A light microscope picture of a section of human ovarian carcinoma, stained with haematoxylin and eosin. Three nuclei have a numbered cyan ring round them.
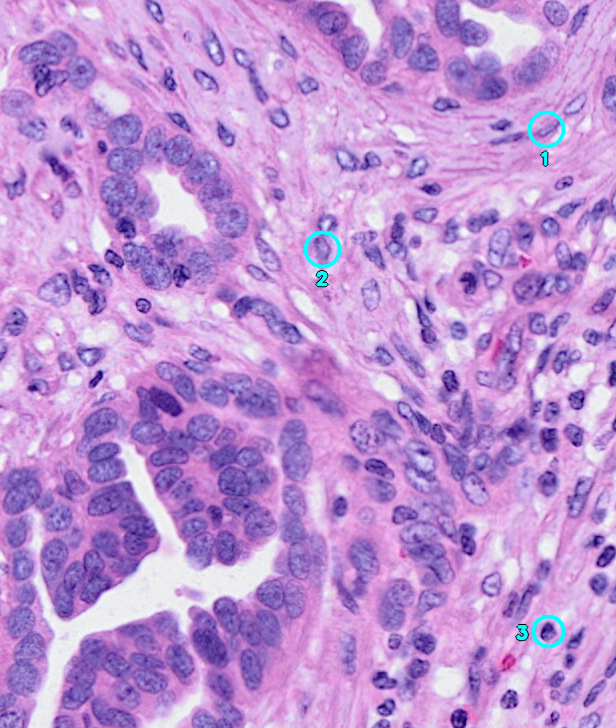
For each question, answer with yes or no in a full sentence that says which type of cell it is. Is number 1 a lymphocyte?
No, it is a fibroblast, not a lymphocyte, that number 1 marks.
